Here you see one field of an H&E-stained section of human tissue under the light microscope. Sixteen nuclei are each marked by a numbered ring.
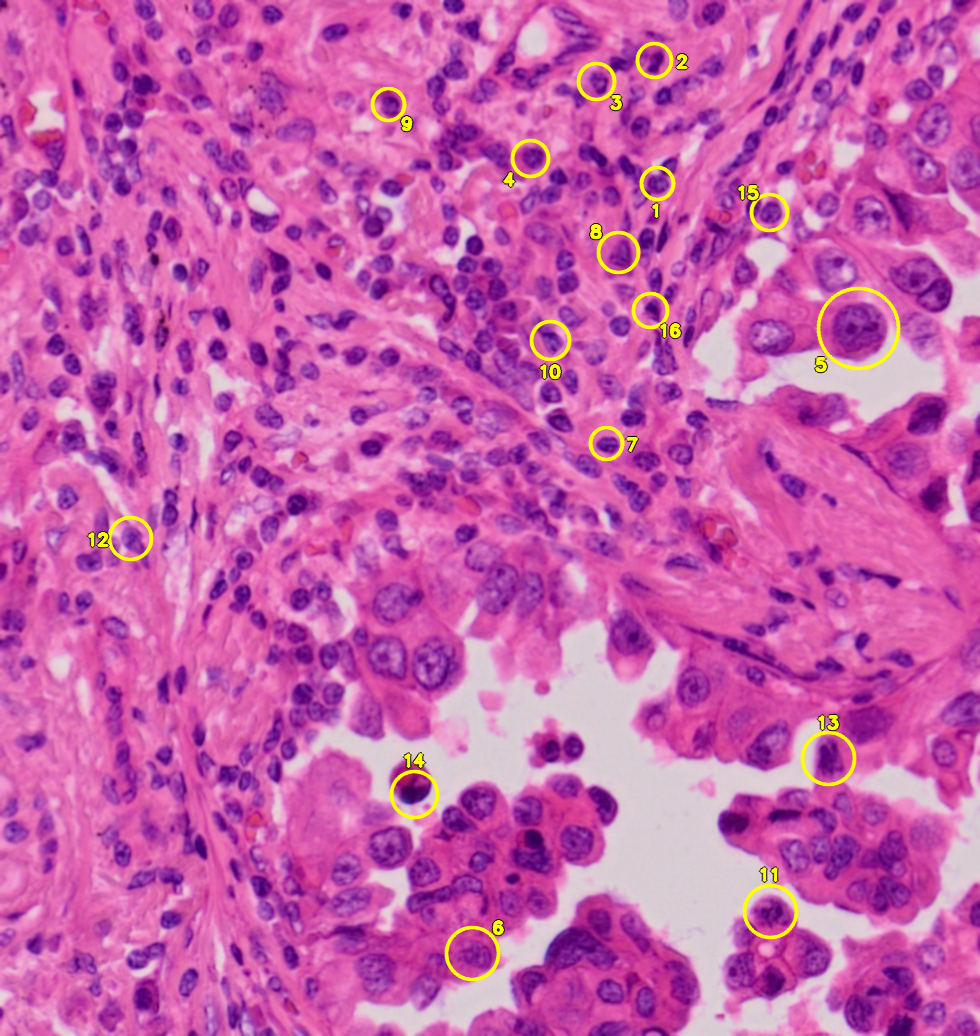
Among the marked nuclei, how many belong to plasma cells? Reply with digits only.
5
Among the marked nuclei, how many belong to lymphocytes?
6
